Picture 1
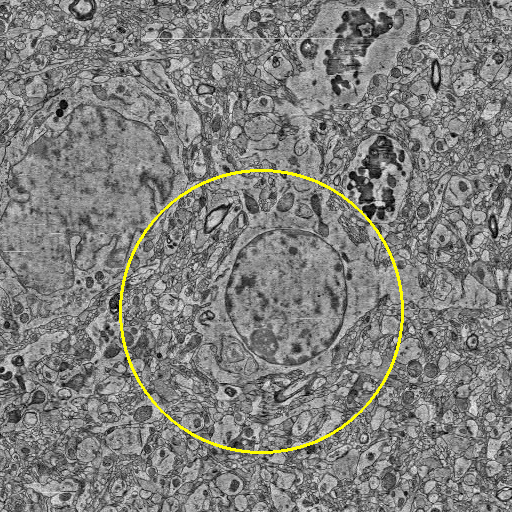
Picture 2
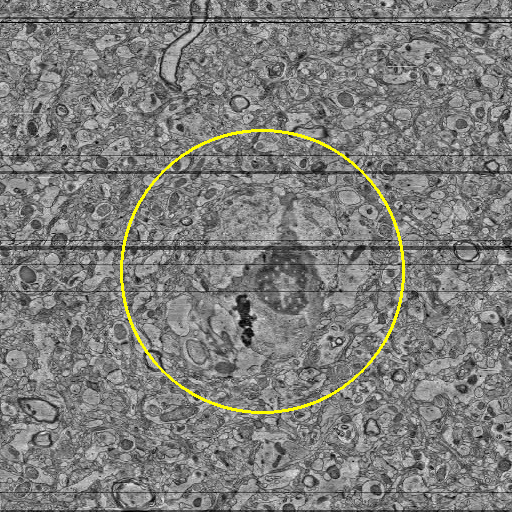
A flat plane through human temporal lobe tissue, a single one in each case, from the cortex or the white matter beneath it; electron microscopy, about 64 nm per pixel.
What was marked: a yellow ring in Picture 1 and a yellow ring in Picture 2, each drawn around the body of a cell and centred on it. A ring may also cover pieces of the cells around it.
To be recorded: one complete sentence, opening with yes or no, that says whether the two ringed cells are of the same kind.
No, the two ringed cells are of two kinds.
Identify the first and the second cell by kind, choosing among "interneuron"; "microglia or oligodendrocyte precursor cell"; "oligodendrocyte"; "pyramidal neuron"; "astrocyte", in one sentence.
The one in the first picture is an astrocyte, while the one in the second is an oligodendrocyte.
